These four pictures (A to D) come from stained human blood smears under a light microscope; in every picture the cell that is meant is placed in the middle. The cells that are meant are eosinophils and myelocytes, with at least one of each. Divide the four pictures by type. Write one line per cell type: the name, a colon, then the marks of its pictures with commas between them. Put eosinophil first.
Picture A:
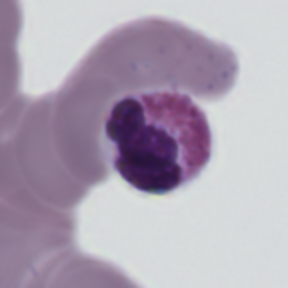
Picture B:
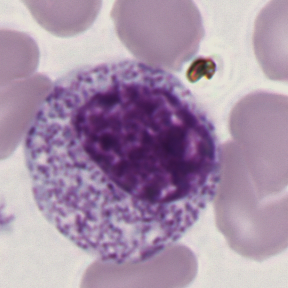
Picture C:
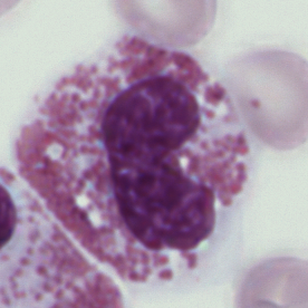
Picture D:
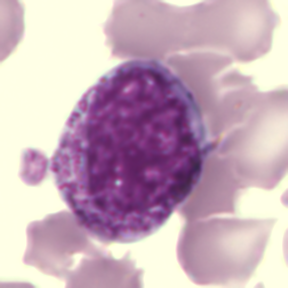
eosinophil: A, C
myelocyte: B, D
